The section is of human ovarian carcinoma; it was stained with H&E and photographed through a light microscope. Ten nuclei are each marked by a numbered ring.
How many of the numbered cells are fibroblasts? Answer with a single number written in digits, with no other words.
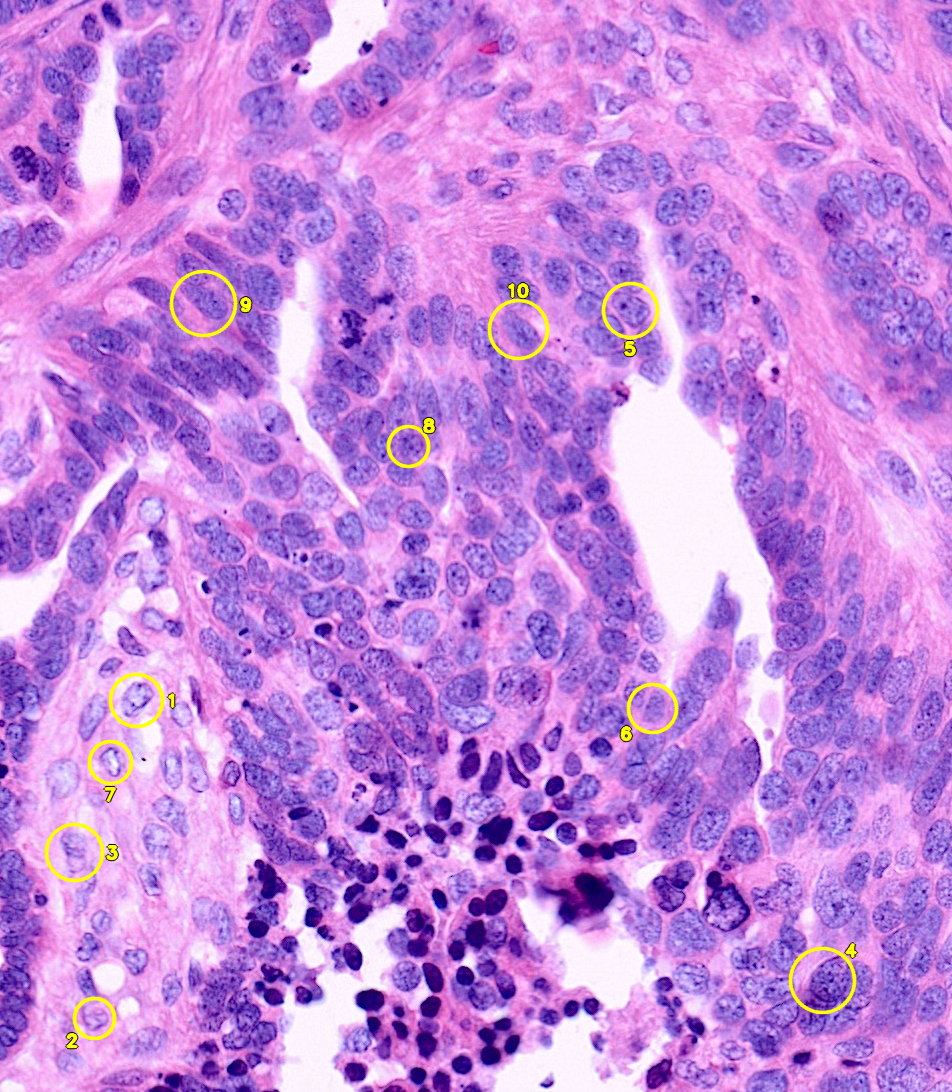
4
